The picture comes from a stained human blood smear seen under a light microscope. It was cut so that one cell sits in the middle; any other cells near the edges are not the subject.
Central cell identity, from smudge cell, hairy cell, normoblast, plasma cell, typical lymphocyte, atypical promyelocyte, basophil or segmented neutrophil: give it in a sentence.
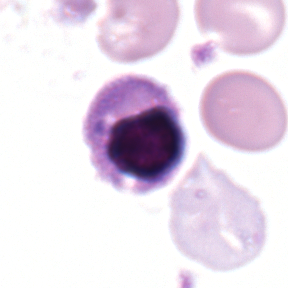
The cell under consideration, at the middle of the crop, is a normoblast.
